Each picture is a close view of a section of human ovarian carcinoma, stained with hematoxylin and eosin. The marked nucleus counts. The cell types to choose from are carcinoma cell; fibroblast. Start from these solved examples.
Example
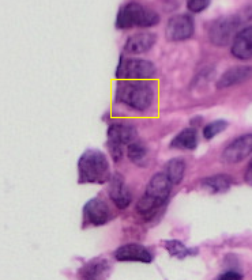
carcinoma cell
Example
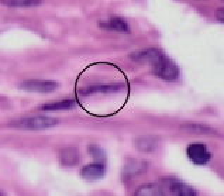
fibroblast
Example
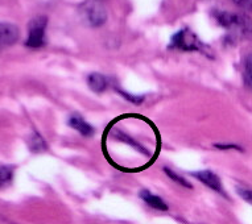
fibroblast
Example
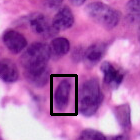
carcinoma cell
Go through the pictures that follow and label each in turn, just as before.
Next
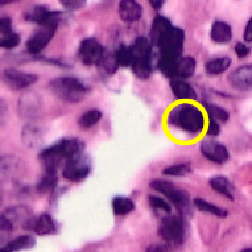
carcinoma cell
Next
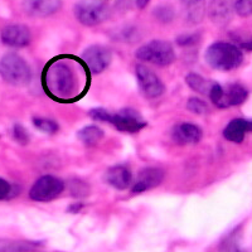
carcinoma cell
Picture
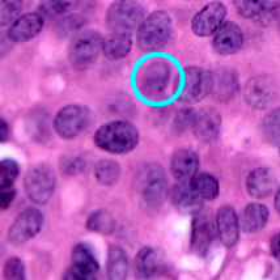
carcinoma cell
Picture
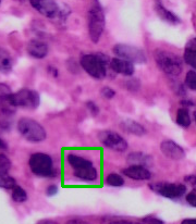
carcinoma cell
